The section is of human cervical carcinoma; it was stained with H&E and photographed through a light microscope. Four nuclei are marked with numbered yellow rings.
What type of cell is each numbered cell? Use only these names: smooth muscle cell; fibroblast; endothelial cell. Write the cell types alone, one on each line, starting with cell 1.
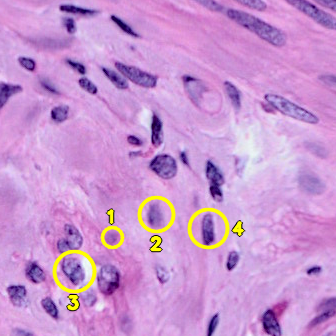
smooth muscle cell
fibroblast
endothelial cell
fibroblast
